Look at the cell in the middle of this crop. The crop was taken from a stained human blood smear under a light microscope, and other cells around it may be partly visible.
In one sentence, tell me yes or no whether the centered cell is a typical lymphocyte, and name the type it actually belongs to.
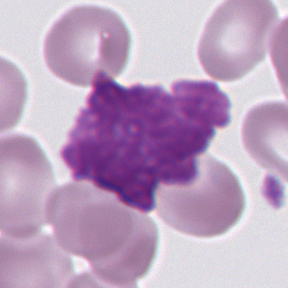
No, a smudge cell, not a typical lymphocyte, is what sits in the centre of the crop.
